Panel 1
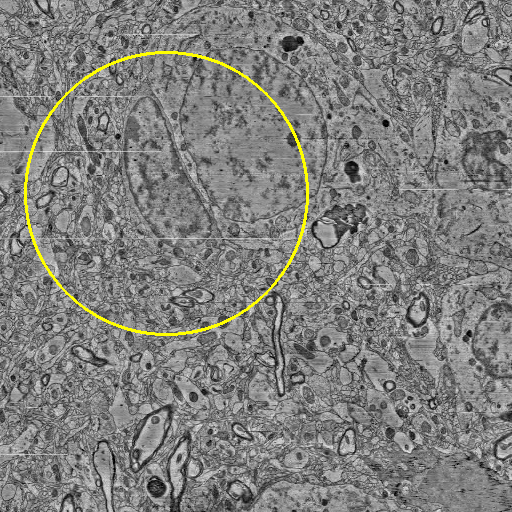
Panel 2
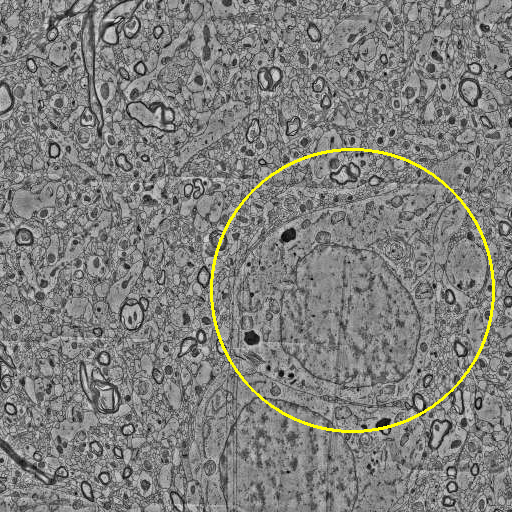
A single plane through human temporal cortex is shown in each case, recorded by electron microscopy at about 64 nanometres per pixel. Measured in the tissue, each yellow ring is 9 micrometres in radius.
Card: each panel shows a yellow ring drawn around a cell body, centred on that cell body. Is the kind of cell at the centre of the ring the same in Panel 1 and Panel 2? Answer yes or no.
no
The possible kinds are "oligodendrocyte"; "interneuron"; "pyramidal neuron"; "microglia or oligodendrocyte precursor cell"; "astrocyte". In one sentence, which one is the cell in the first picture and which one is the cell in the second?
The cell ringed in the second picture is a pyramidal neuron, whereas the one ringed in the first is an oligodendrocyte.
